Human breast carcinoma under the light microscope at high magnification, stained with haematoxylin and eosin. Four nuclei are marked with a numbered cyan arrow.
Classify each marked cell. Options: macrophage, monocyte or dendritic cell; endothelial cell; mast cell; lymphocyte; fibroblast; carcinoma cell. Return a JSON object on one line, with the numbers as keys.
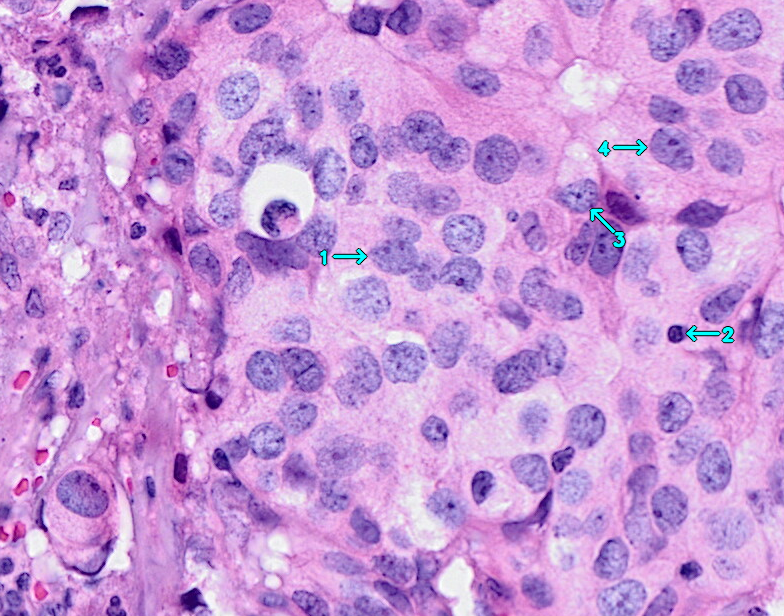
{"1": "carcinoma cell", "2": "lymphocyte", "3": "carcinoma cell", "4": "carcinoma cell"}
